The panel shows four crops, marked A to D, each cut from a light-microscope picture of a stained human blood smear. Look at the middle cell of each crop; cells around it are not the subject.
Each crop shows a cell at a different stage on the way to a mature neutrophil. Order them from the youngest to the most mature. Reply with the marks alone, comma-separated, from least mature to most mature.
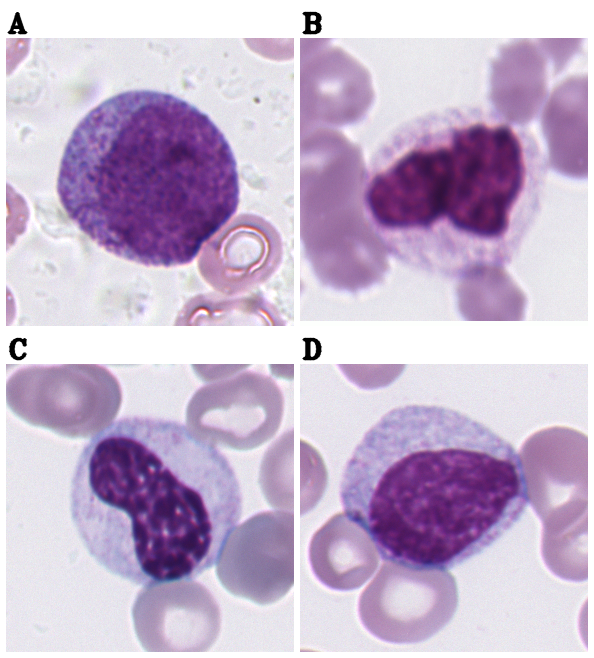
A, D, C, B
